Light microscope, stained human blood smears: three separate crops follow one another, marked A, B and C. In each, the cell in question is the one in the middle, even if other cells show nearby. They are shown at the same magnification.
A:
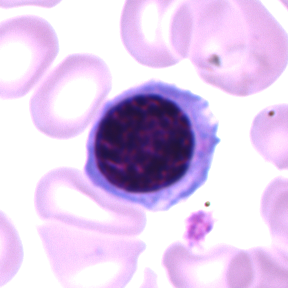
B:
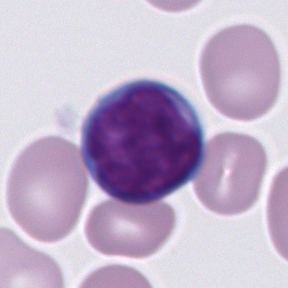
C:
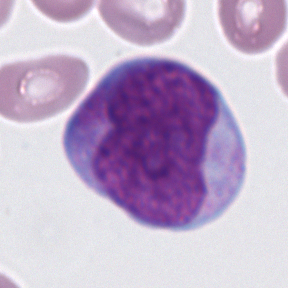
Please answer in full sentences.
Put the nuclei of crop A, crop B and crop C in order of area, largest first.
Going down, they run C, B, A.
